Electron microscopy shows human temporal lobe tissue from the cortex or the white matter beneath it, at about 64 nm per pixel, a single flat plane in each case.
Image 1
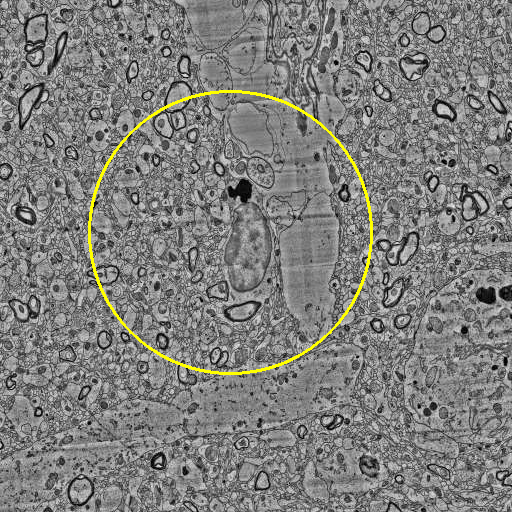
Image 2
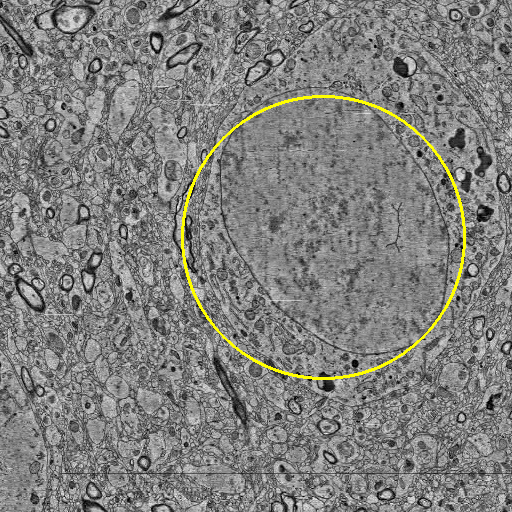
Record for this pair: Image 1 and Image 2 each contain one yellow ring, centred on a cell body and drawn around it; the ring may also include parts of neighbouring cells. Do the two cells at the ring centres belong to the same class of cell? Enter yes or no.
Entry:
no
